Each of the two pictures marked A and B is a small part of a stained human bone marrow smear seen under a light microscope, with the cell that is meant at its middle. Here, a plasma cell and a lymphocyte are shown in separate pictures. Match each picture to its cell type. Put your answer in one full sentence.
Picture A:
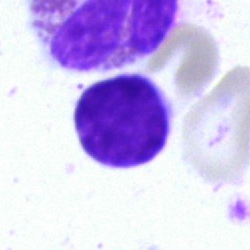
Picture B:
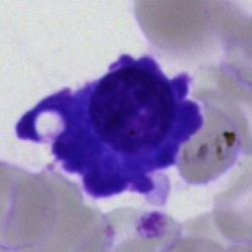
It is picture A that shows a lymphocyte, and picture B that shows a plasma cell.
